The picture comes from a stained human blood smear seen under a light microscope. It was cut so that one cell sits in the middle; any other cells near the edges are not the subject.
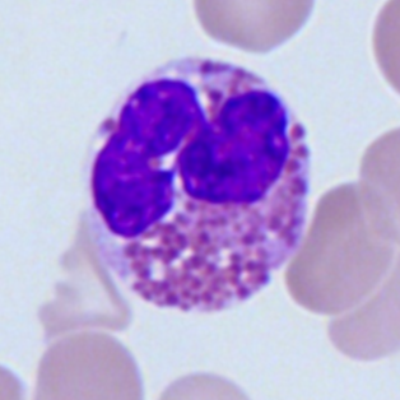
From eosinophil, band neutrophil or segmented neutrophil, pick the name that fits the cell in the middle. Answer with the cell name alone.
eosinophil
